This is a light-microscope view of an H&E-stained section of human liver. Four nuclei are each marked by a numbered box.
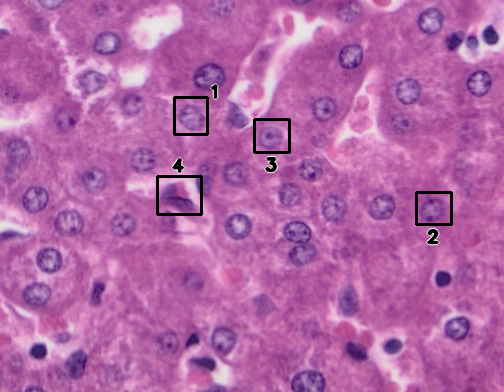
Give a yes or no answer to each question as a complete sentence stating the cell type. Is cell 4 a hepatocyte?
No, cell 4, which is a Kupffer cell, is not a hepatocyte.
